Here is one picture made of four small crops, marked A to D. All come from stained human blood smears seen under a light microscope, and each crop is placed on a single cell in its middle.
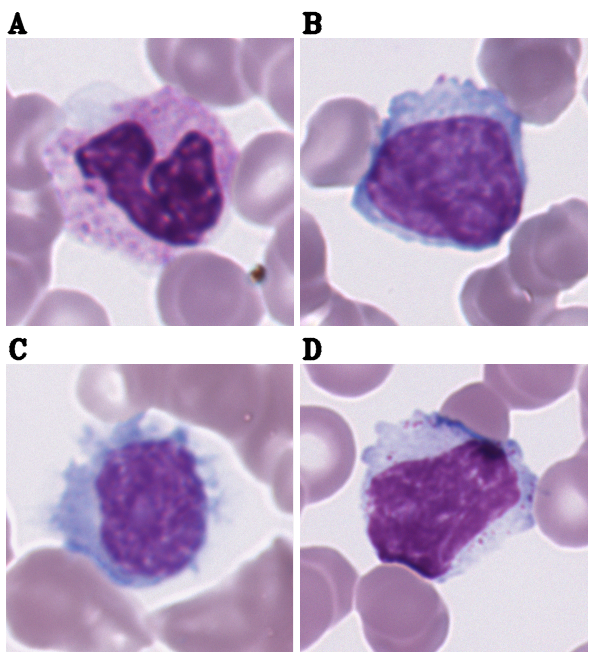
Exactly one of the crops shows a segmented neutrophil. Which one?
A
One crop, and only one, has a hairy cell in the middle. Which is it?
C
